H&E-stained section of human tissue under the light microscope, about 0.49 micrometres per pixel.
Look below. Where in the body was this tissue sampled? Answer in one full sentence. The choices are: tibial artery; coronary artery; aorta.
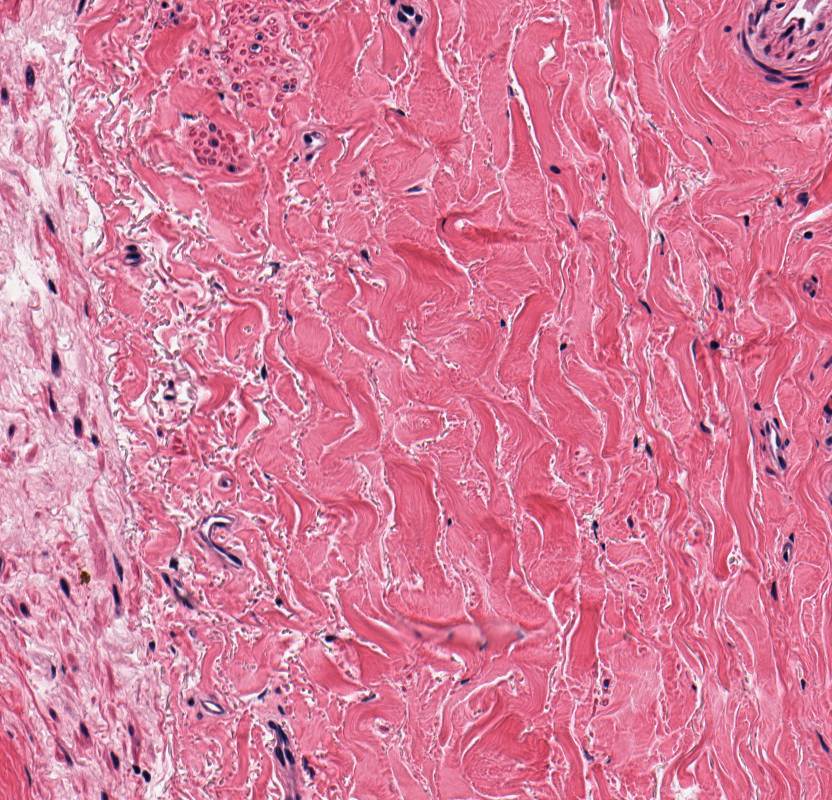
The section was made from a sample of the tibial artery.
